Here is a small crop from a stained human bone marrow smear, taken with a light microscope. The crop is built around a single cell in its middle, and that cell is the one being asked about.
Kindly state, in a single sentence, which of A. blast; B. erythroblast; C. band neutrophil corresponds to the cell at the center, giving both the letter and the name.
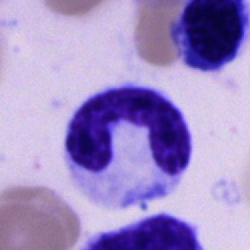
Option C, which names the central cell as a band neutrophil, is correct.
